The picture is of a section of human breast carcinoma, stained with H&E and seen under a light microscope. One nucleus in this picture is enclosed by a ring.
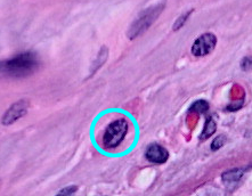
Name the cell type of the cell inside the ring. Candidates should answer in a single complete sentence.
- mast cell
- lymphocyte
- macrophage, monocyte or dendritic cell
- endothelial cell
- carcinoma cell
The cell type of the cell inside the ring is that of a mast cell.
